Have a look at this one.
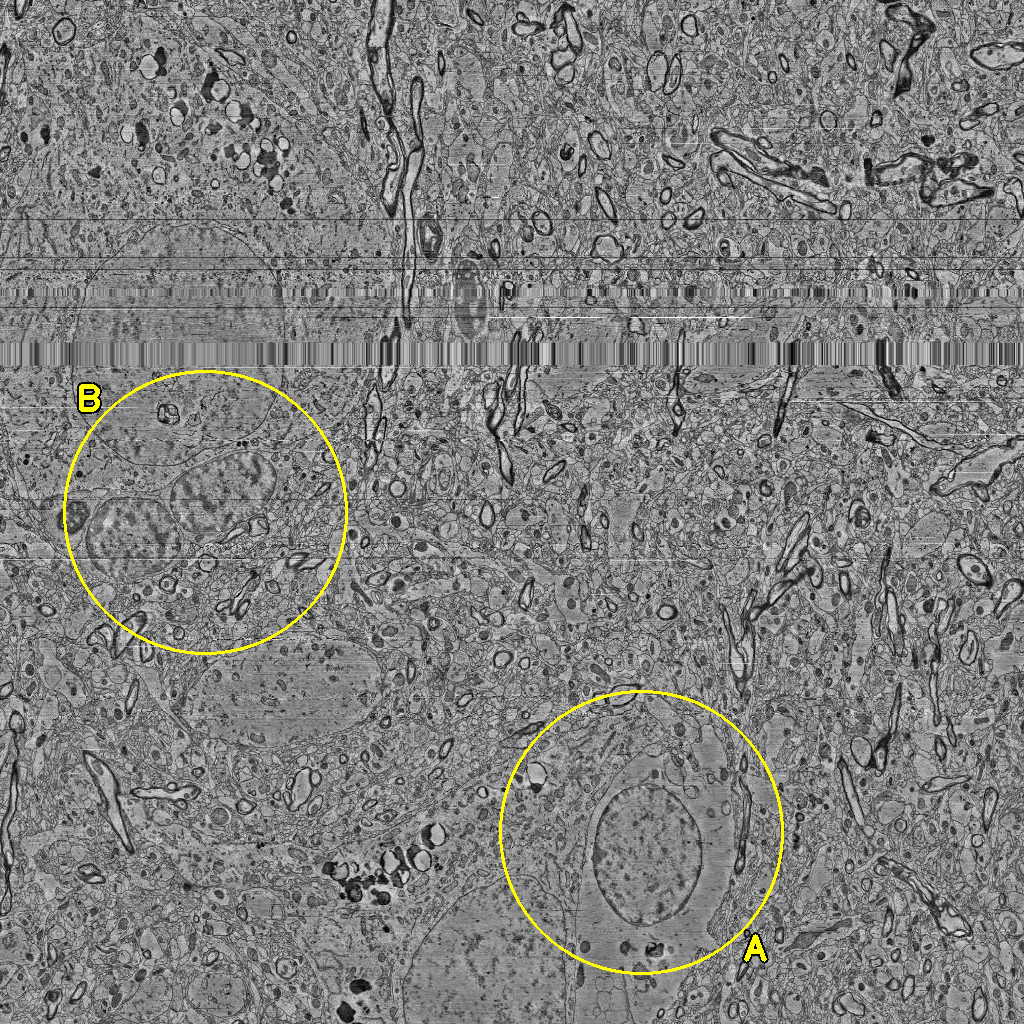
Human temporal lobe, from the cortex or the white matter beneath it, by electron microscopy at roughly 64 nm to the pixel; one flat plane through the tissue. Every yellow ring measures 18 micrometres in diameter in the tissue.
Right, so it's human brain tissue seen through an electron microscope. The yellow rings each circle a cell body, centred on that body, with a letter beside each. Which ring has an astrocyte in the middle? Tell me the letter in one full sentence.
That kind of cell is sitting in the middle of ring A there.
